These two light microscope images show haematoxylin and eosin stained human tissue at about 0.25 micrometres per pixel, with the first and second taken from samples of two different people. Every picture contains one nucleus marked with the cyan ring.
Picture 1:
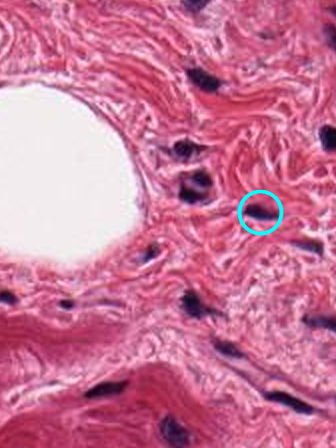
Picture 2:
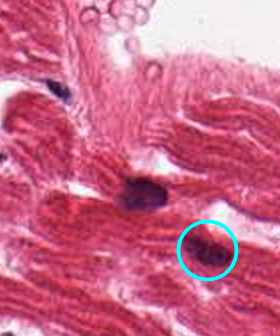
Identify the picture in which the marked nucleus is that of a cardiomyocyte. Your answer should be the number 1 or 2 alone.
2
